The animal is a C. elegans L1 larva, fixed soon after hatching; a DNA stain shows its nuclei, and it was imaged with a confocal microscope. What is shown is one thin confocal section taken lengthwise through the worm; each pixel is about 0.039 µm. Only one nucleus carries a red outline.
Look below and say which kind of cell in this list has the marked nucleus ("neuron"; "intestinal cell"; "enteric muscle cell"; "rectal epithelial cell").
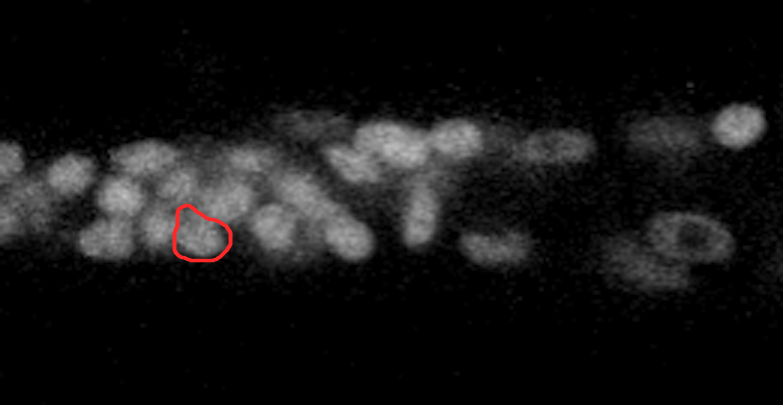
enteric muscle cell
